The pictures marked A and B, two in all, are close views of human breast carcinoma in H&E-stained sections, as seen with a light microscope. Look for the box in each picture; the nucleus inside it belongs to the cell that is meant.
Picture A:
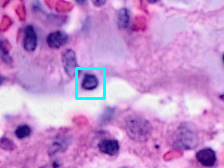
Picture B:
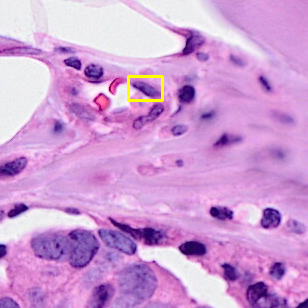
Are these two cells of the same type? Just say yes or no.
no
